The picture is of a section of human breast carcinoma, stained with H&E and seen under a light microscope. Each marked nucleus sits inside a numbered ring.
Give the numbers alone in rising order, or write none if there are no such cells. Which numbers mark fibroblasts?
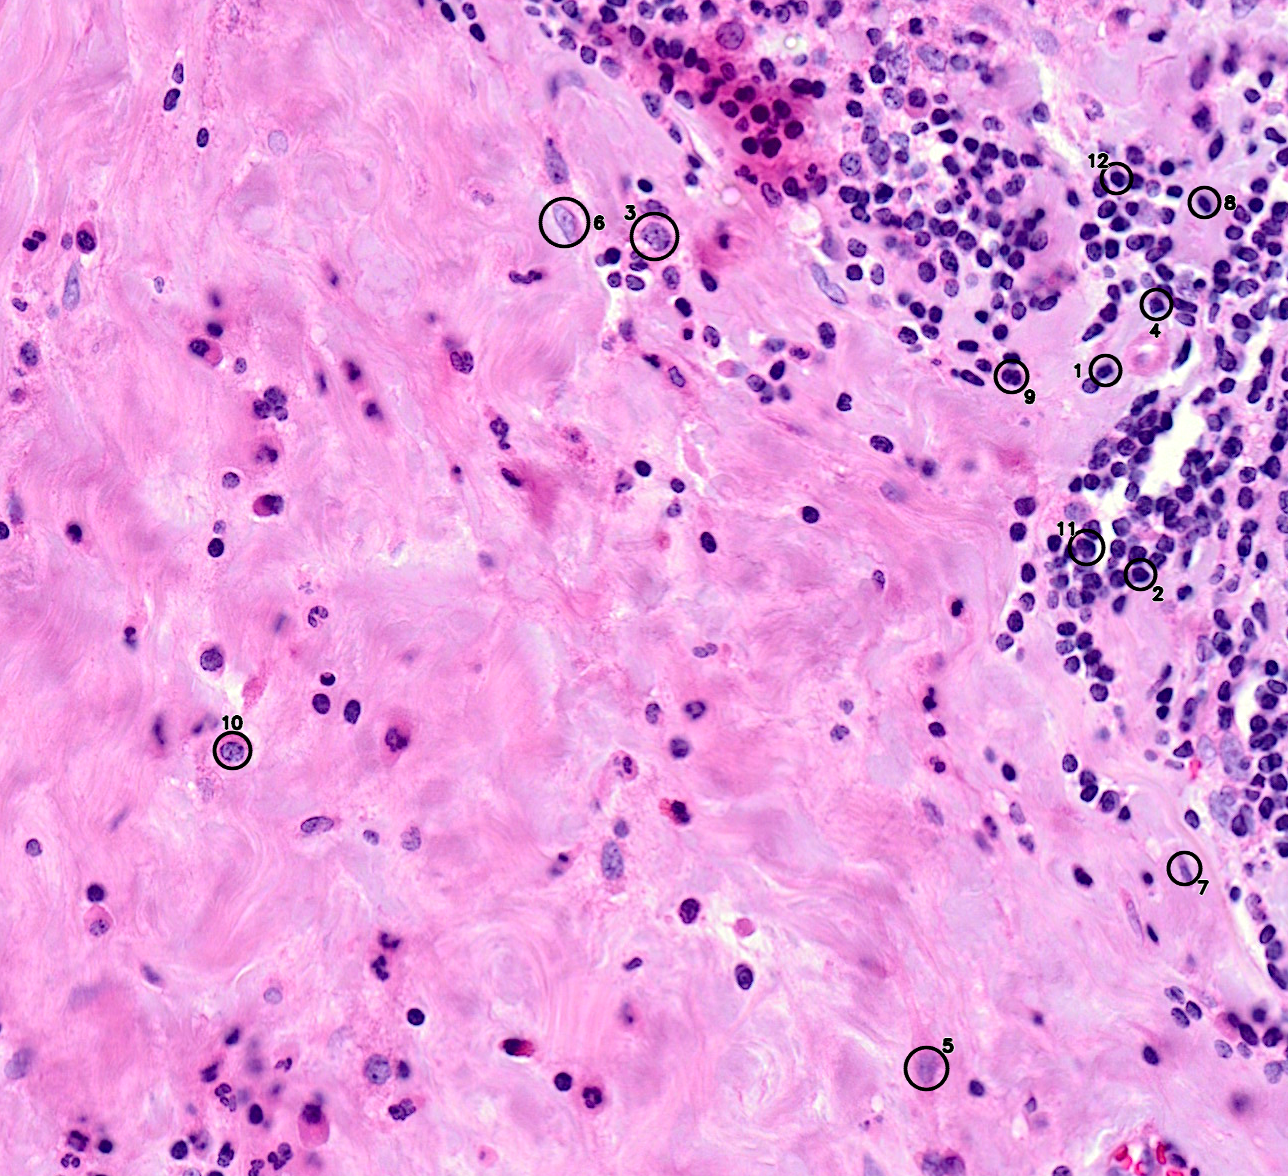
5, 6, 7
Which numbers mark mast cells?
10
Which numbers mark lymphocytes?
1, 2, 4, 8, 9, 11, 12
